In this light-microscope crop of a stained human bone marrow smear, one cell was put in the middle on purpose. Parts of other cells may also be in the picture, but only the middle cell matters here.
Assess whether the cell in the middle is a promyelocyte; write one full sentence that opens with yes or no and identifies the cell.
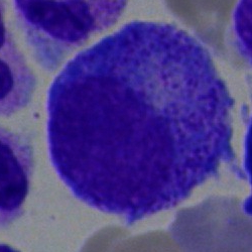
Yes, the crop is centred on a promyelocyte.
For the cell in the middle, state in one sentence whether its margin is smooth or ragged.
A smooth outline is absent here, replaced by ragged stretches or projections.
